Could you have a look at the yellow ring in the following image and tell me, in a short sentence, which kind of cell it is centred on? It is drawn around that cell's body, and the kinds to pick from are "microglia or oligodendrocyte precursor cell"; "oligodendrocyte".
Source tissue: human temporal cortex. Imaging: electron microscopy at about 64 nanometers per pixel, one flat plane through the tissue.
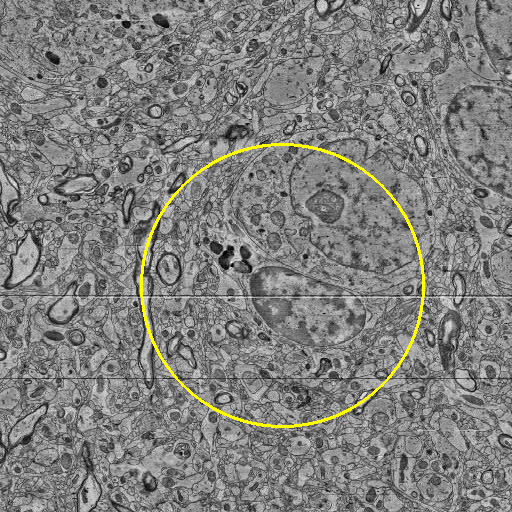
The ring is centred on the body of a microglial cell or oligodendrocyte precursor cell.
